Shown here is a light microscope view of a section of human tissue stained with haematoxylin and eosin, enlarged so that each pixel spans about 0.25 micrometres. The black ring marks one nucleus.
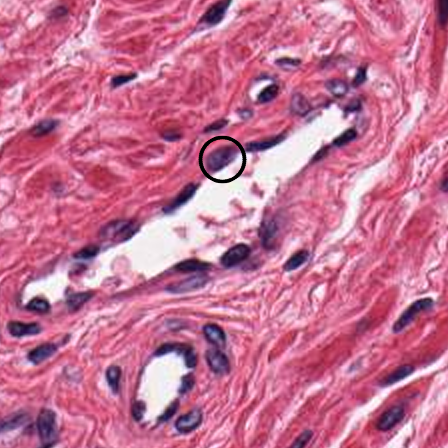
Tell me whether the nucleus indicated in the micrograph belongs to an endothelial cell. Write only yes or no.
yes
